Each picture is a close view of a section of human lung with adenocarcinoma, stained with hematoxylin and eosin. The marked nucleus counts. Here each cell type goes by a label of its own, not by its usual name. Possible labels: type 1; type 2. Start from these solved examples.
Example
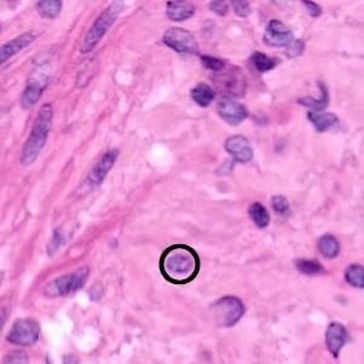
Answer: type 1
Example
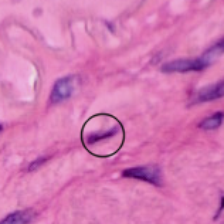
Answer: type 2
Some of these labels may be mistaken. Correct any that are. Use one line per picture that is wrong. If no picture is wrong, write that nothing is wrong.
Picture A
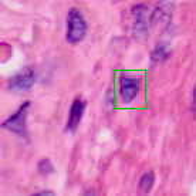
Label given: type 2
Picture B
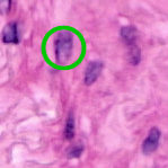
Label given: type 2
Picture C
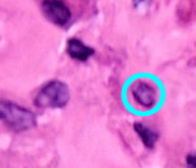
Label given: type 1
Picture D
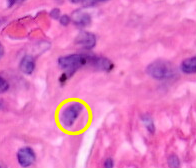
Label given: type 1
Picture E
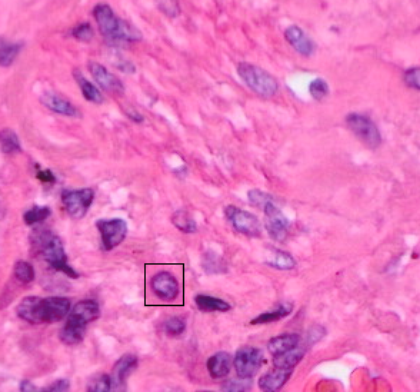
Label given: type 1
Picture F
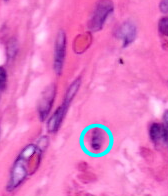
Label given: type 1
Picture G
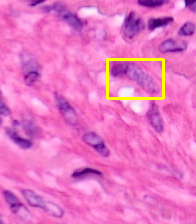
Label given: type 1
G: not type 1 but type 2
